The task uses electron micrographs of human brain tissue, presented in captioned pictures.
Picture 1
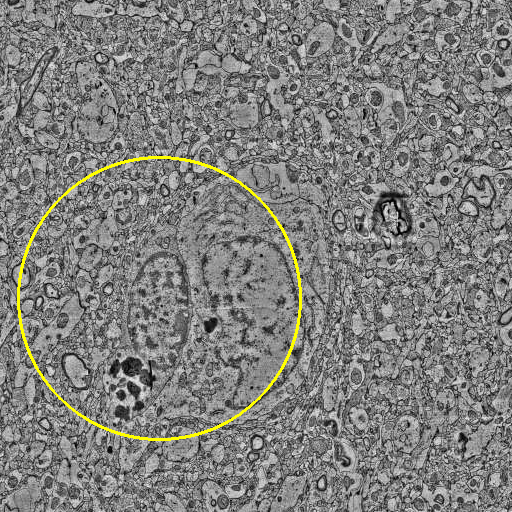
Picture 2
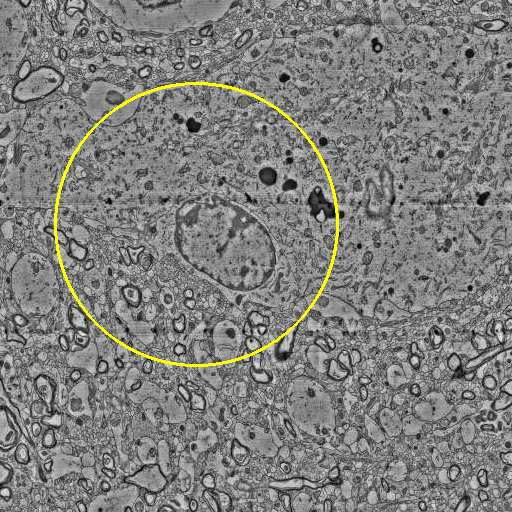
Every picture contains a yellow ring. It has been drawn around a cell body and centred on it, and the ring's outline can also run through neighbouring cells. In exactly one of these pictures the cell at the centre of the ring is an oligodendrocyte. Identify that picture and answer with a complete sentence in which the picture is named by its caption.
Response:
The ring in Picture 1 is centred on that kind of cell.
